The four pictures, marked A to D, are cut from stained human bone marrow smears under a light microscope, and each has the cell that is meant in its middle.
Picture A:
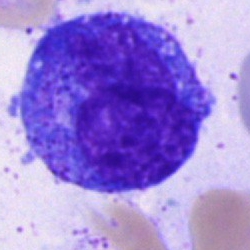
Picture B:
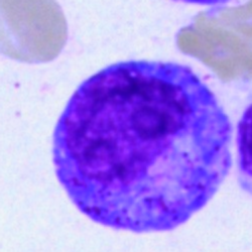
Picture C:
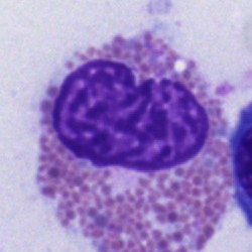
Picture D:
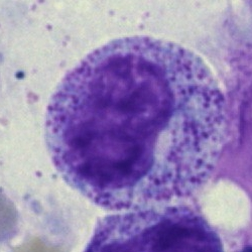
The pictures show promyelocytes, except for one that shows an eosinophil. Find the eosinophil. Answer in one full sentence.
Picture C shows the eosinophil.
